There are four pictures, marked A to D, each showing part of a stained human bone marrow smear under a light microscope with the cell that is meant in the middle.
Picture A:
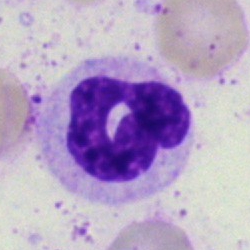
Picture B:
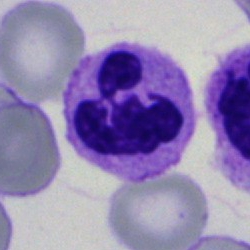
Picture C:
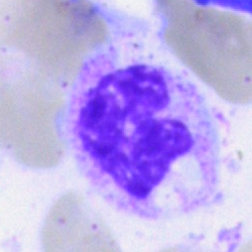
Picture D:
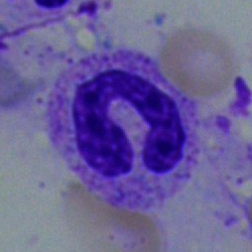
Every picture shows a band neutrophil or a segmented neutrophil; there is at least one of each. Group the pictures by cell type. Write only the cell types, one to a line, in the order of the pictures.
segmented neutrophil
segmented neutrophil
segmented neutrophil
band neutrophil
